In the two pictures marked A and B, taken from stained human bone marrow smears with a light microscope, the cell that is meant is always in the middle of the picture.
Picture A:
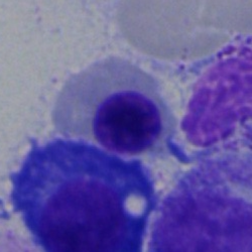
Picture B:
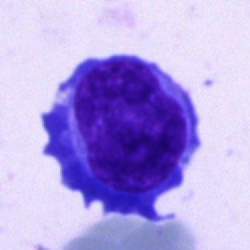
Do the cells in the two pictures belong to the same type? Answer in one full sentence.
No, picture A shows an erythroblast and picture B shows a blast.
